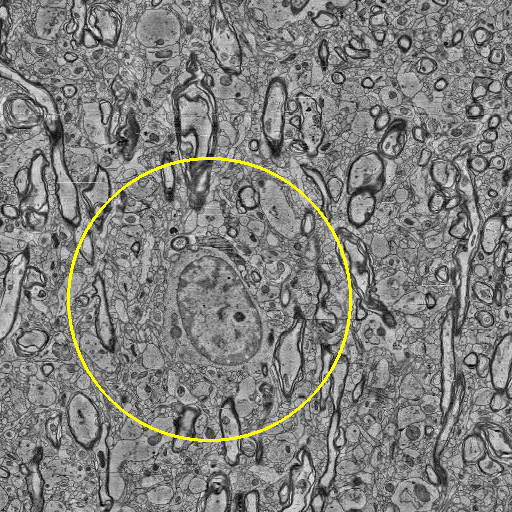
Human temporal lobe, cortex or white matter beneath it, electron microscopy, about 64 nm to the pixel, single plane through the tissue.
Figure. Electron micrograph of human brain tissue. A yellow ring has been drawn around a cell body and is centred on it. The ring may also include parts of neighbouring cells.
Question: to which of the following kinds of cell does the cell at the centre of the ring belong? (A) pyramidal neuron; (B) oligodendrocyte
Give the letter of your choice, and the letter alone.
B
